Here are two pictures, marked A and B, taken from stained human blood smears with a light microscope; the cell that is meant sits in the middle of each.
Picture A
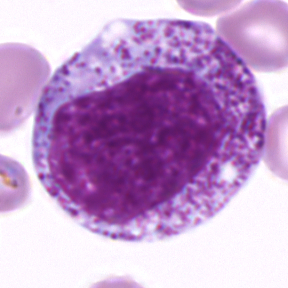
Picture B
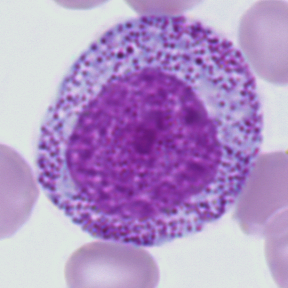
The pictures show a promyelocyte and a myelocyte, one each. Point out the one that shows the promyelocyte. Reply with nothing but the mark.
A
